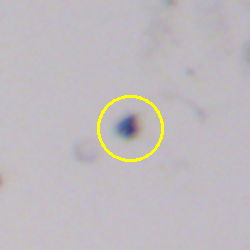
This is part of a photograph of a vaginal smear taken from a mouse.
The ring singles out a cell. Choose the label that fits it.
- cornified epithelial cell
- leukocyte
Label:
leukocyte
